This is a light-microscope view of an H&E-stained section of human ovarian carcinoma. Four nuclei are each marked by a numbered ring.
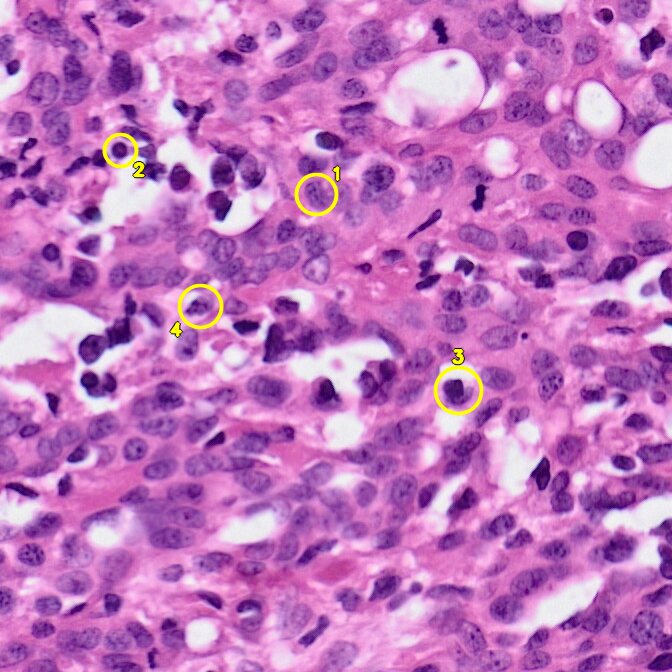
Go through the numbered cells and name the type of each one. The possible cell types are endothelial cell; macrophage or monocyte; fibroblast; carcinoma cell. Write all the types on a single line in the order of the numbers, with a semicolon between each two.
macrophage or monocyte; carcinoma cell; carcinoma cell; carcinoma cell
